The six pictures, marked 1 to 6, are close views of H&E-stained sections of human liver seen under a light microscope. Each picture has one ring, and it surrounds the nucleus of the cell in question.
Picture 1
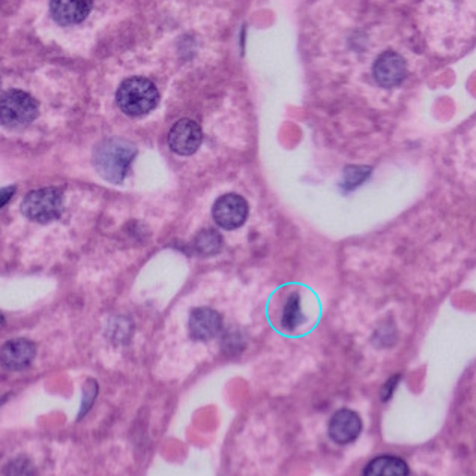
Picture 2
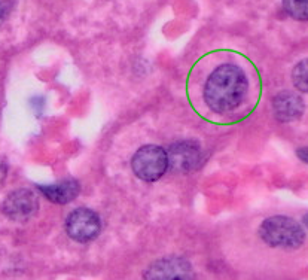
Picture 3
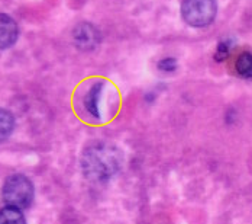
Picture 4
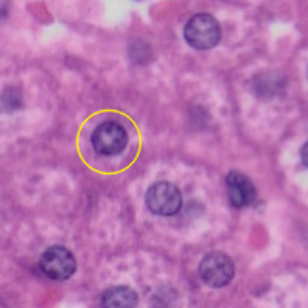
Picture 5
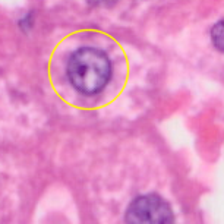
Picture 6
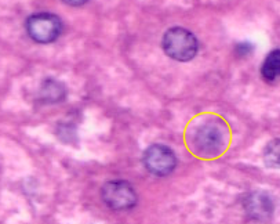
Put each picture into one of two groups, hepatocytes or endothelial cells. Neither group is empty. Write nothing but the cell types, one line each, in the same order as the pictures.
endothelial cell
hepatocyte
endothelial cell
hepatocyte
hepatocyte
hepatocyte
